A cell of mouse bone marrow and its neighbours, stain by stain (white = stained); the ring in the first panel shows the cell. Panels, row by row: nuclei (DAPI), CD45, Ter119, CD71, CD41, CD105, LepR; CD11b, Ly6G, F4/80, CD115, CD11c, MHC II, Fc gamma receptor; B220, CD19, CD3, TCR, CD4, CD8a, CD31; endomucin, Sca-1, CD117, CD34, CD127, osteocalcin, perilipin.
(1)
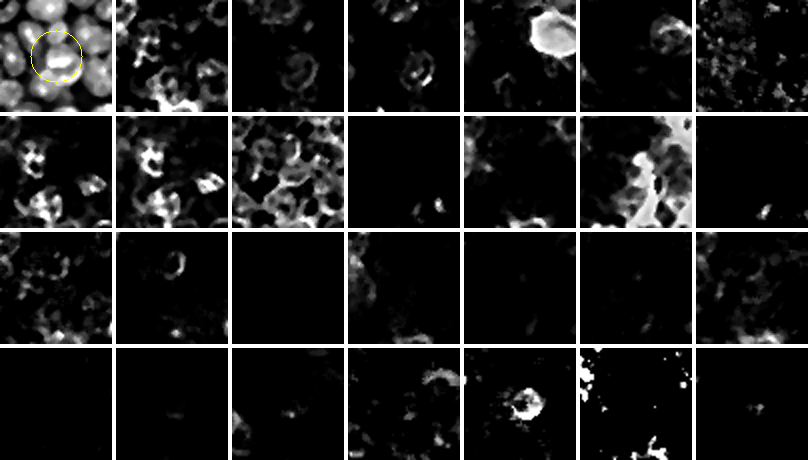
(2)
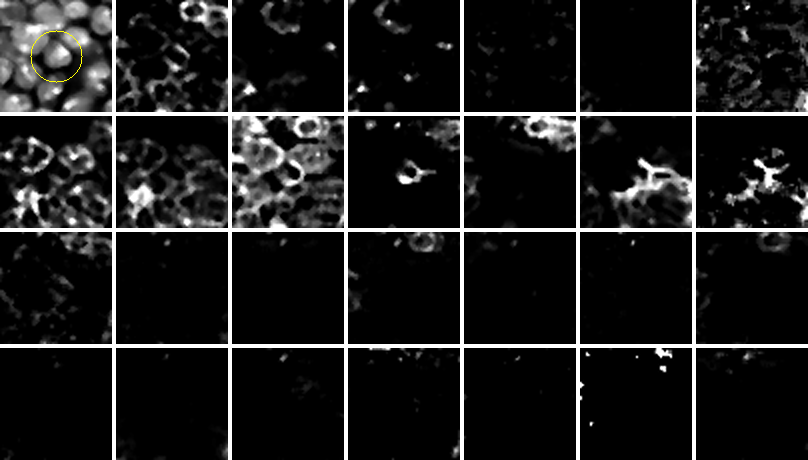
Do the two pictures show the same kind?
No: a common lymphoid progenitor, then a monocyte.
